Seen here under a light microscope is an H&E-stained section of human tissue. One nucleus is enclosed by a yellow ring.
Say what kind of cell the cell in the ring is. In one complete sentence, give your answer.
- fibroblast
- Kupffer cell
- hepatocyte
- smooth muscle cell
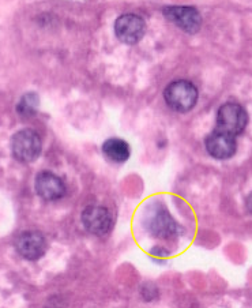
In the tissue under study, the cell in the ring is a Kupffer cell.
